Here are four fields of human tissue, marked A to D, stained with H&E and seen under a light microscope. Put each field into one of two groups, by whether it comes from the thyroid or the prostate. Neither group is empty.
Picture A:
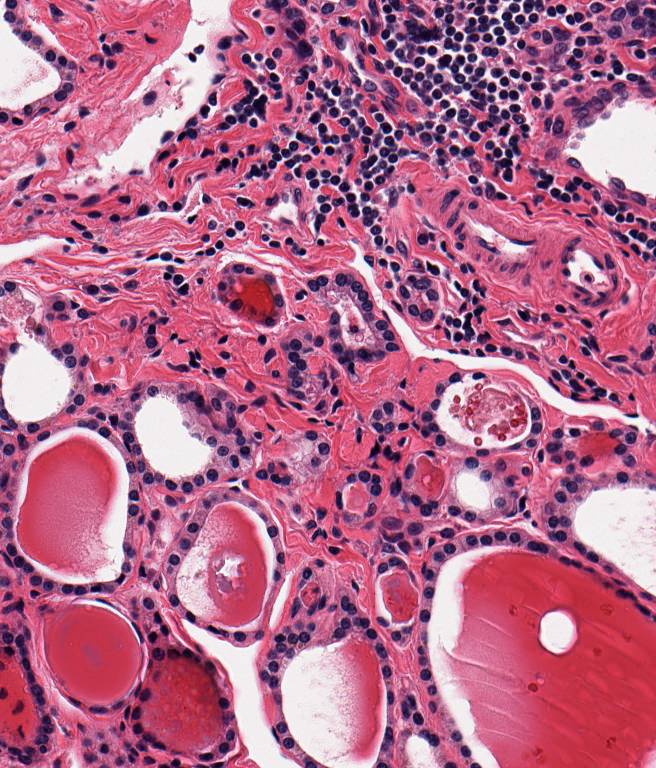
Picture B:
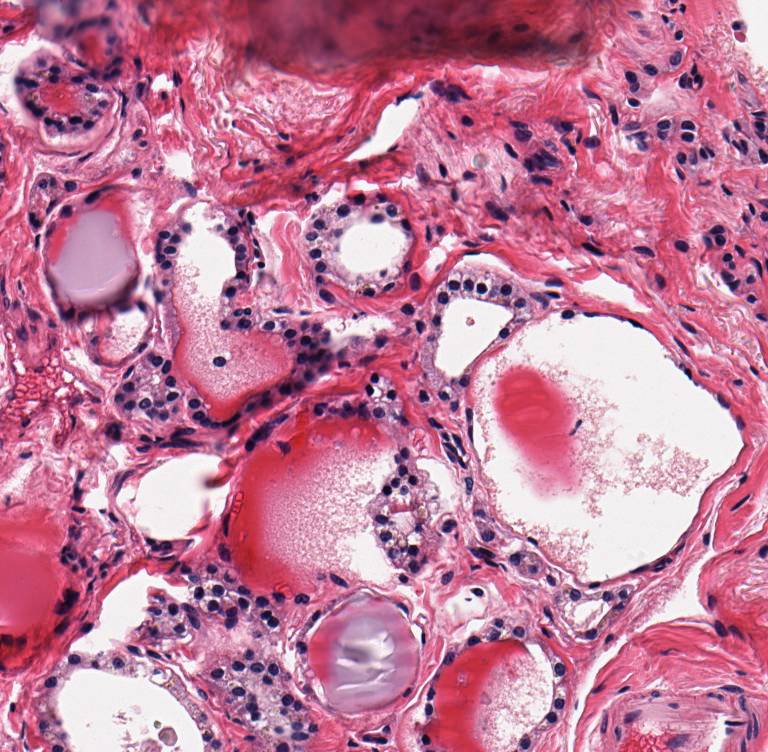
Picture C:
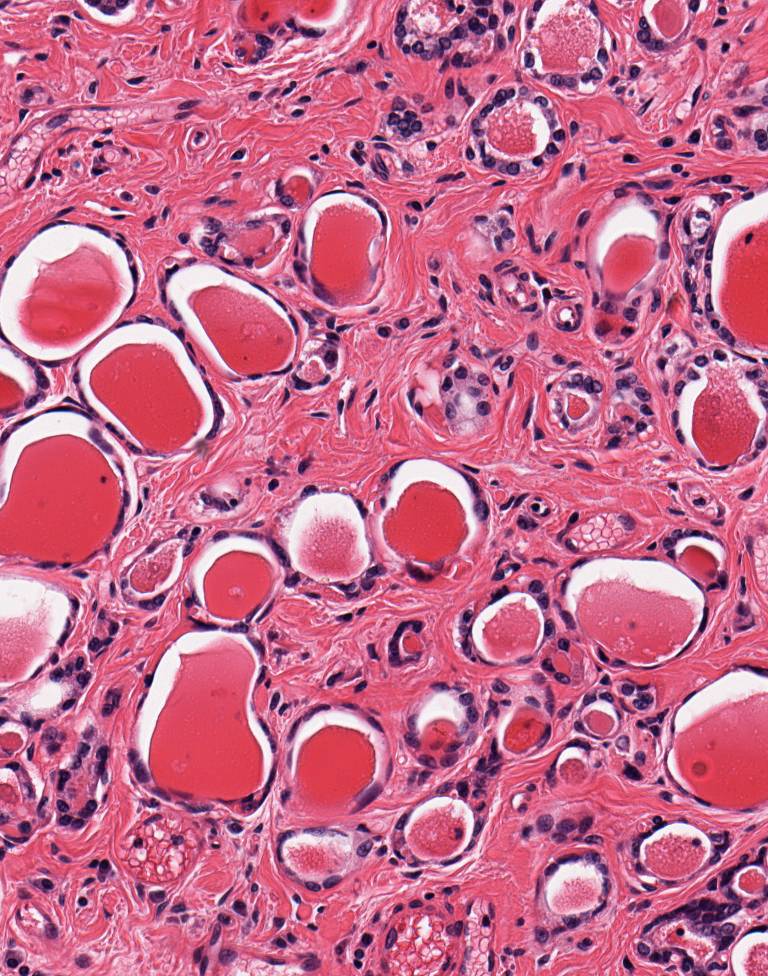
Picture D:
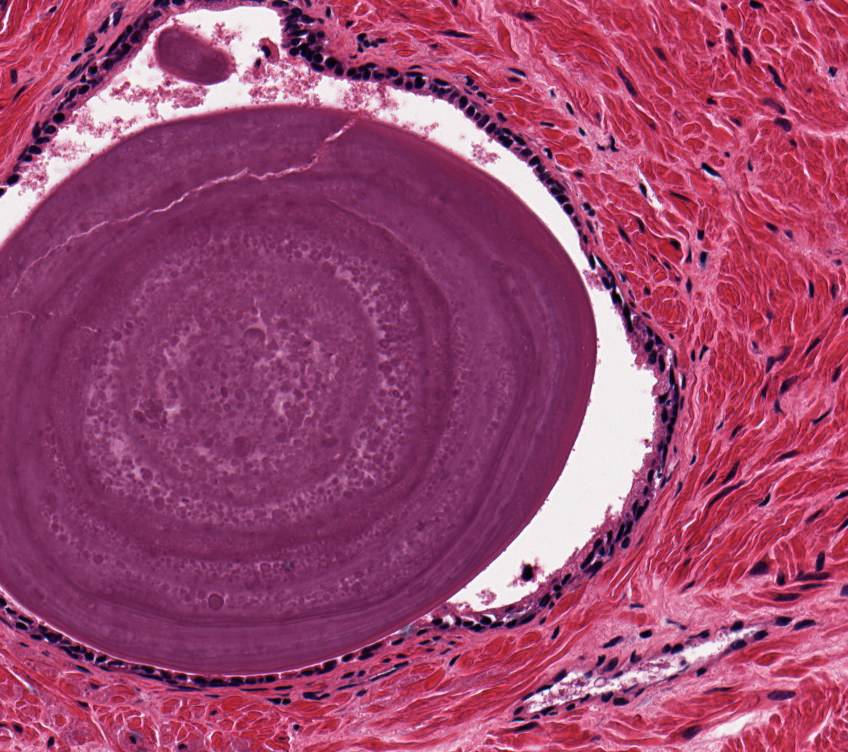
A: thyroid
B: thyroid
C: thyroid
D: prostate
